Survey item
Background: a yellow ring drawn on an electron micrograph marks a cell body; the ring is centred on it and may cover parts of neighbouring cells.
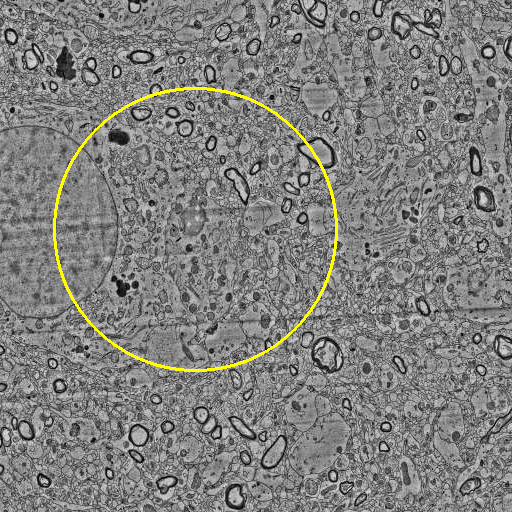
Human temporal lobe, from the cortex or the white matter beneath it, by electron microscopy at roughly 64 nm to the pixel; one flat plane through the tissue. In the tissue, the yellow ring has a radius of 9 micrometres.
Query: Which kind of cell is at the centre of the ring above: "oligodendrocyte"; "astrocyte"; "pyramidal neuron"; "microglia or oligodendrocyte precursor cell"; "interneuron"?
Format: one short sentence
The cell in the middle of the ring is an oligodendrocyte.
